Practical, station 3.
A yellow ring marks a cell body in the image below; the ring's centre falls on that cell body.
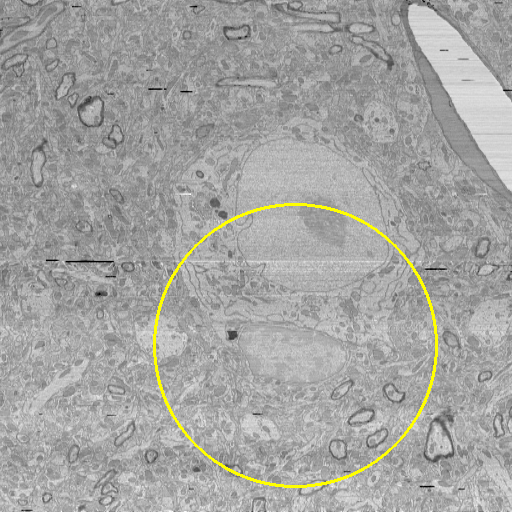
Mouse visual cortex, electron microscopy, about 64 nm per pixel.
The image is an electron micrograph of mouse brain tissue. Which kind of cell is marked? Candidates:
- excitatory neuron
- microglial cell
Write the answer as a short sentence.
The marked cell body is that of a microglial cell.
